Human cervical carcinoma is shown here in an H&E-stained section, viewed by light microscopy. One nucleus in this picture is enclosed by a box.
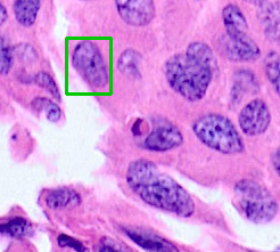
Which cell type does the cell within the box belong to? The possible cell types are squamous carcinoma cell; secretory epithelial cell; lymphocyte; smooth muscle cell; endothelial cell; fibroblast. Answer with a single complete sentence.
In the context of this tissue, the cell within the box is a squamous carcinoma cell.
